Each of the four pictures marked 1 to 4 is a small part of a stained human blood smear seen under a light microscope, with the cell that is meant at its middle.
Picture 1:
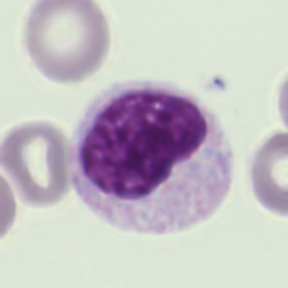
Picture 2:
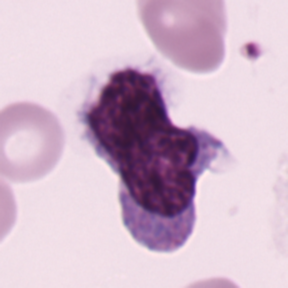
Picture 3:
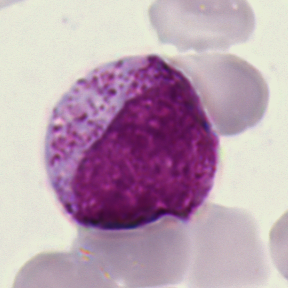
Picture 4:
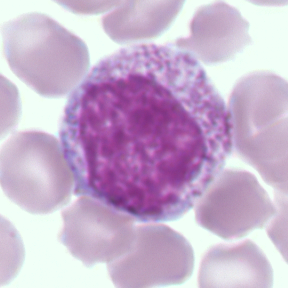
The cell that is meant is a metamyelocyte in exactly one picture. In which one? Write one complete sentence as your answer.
Picture 1 shows the metamyelocyte.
